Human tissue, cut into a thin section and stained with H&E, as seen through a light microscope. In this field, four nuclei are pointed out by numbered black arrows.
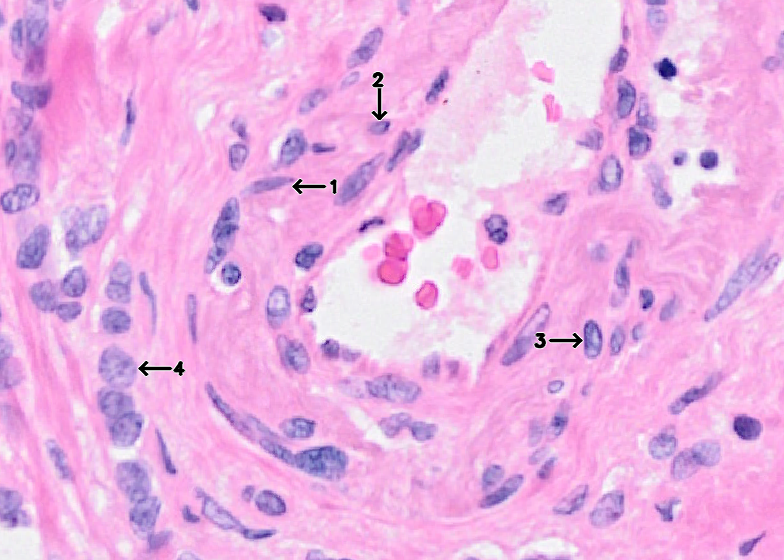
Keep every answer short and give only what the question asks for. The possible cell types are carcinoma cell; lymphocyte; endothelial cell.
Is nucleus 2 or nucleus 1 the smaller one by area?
2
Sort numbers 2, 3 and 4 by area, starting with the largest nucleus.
4, 3, 2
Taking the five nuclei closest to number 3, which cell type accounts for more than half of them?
endothelial cell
